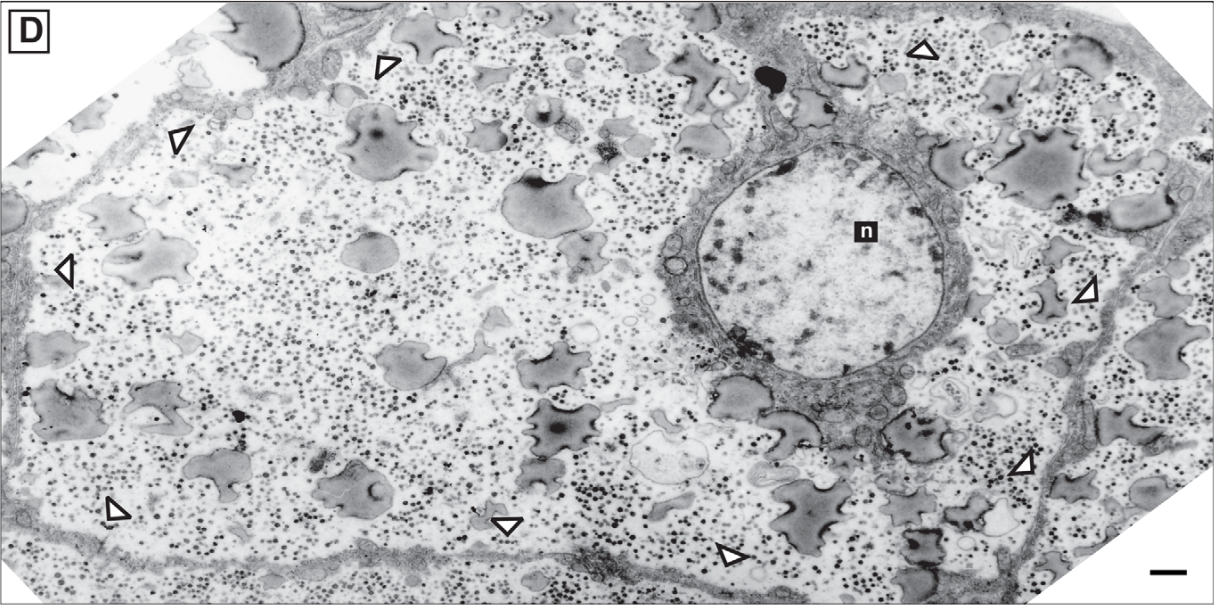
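A whole fat body cell fills the field, a large cell bounded by a thin membrane and packed with storage material. Its round nucleus lies off-centre, surrounded by a narrow rim of denser cytoplasm with small membranous organelles. The nucleoplasm is pale, with chromatin in small dark flecks spread through it and a few darker patches along the nuclear envelope. The rest of the cytoplasm is pale and crowded with many small dark granules and numerous medium-grey droplets of irregular, lobed or star-like outline, some with darker centres. A few clear vacuoles and membrane whorls lie among them.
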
